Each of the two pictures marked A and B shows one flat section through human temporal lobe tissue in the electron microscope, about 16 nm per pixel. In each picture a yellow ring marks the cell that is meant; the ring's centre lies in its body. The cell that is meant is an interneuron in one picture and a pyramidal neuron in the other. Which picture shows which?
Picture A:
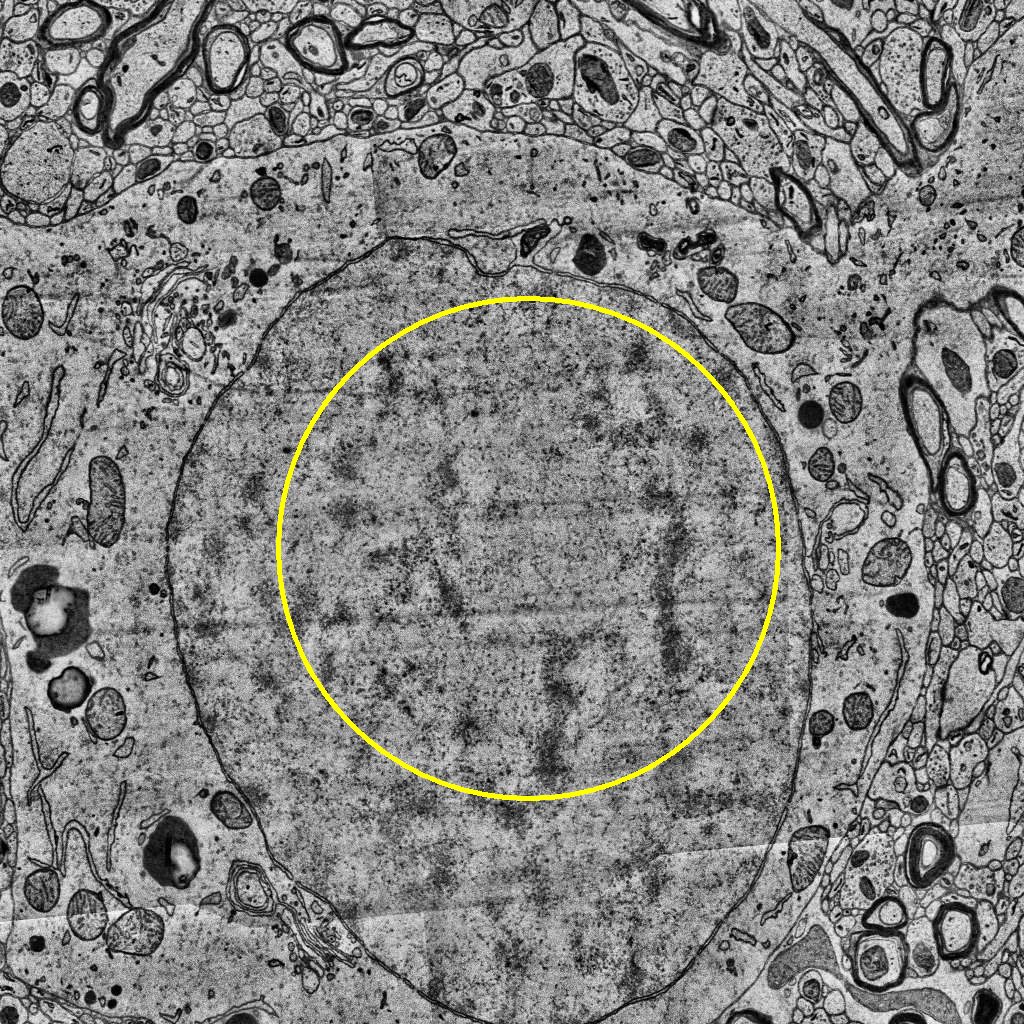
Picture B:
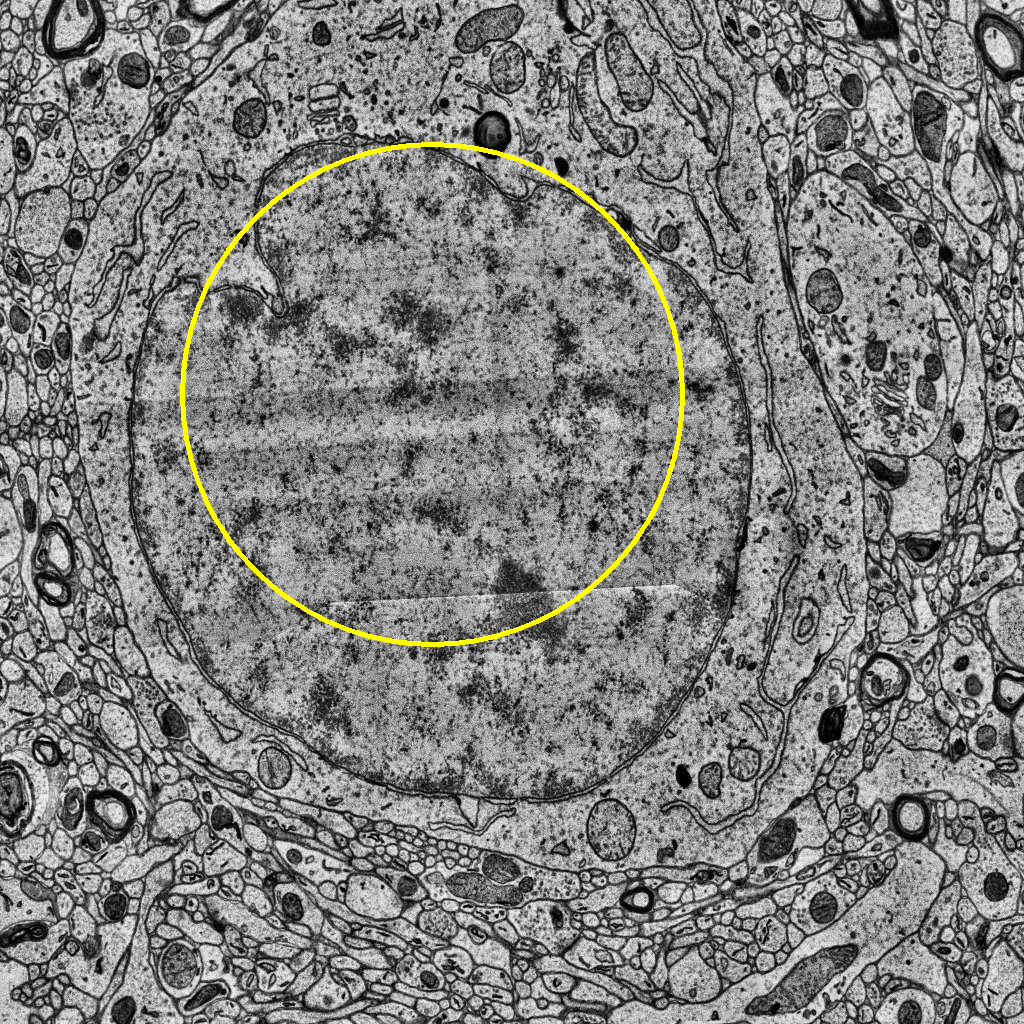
Picture A shows a pyramidal neuron and picture B shows an interneuron.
